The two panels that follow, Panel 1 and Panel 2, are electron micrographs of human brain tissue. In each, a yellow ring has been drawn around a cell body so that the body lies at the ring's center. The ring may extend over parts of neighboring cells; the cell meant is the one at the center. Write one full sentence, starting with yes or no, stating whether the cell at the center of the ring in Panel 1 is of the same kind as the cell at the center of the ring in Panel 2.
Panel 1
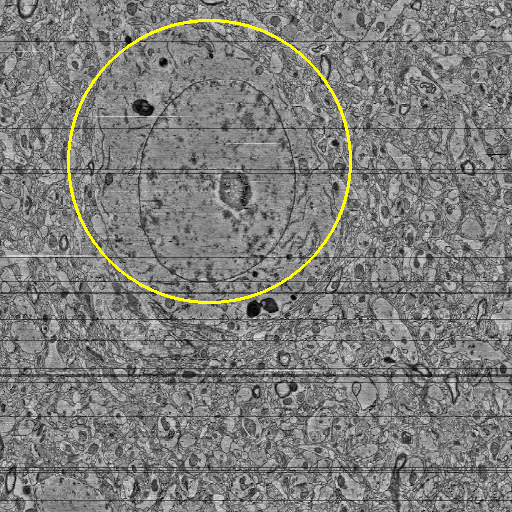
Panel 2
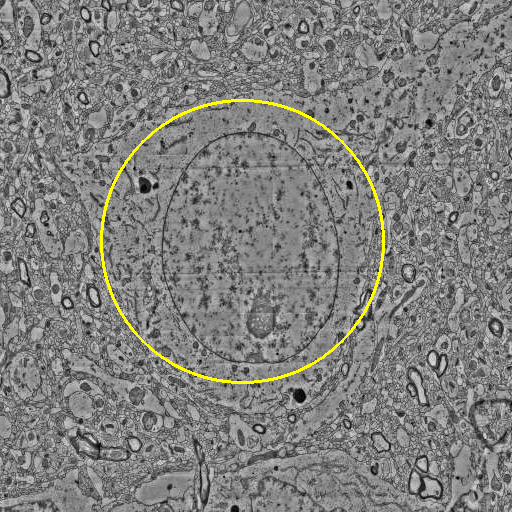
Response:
Yes, the cells in both panels are of the same kind.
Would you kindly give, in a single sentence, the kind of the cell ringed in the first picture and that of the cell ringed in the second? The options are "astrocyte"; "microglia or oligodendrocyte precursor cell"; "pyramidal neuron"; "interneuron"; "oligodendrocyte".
The ring centre holds a pyramidal neuron in each of the two pictures.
